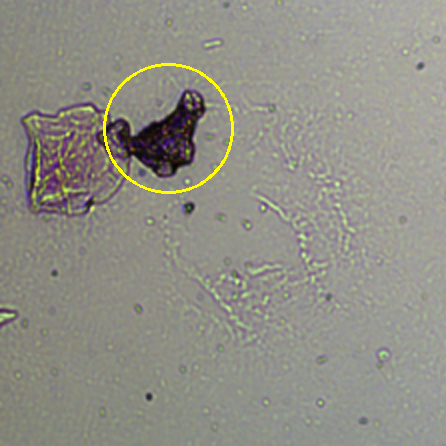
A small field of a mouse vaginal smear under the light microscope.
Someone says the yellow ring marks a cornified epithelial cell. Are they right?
They are right: it is a cornified epithelial cell.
